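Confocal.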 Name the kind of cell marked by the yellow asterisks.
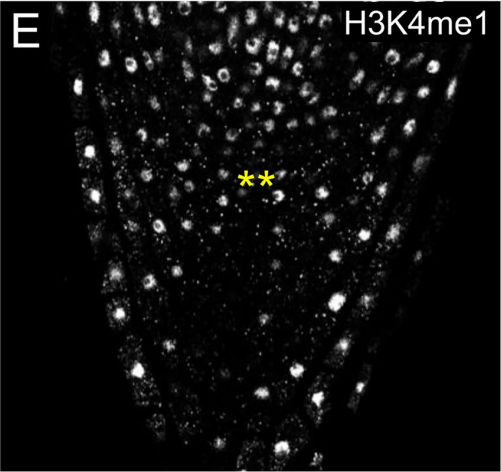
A: quiescent center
